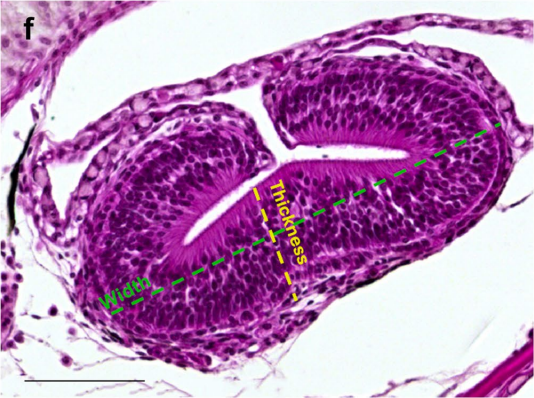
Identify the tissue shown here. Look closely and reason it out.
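A thick, multilayered epithelium of tightly packed elongated nuclei surrounds a narrow branched lumen. A pale apical band lines the lumen surface. Thin connective tissue wraps the structure. So: olfactory epithelium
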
